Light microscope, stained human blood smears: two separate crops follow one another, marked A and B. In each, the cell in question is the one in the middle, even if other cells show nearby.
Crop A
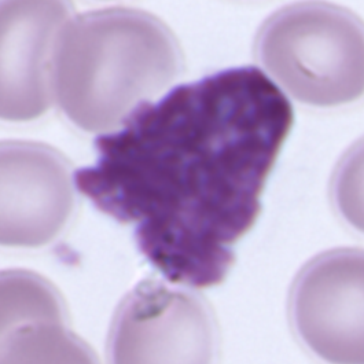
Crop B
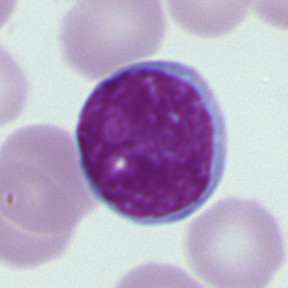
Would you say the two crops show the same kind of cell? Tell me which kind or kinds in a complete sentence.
No, crop A contains a smudge cell, and crop B contains a typical lymphocyte.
